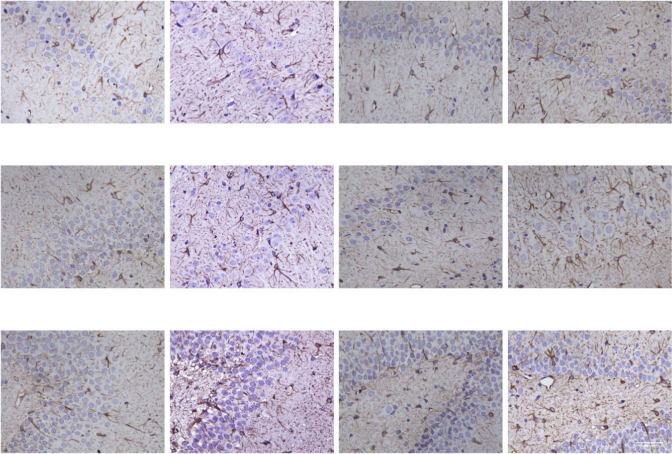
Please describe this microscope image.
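A grid of hippocampal sections in which brown-stained astrocytes lie scattered among blue-stained nuclei. The astrocytes have small cell bodies with thin branching processes. The number and density of brown cells differ between the images of each row.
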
